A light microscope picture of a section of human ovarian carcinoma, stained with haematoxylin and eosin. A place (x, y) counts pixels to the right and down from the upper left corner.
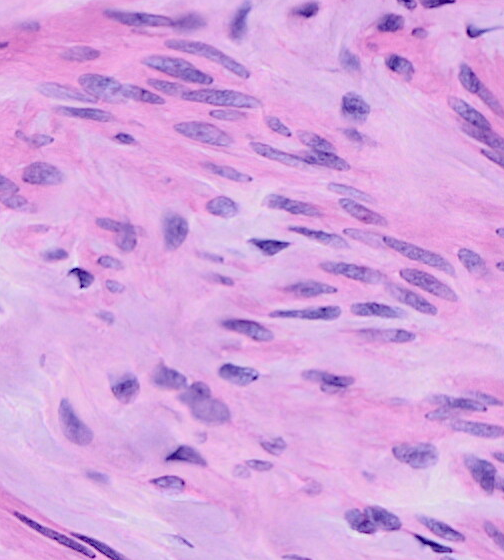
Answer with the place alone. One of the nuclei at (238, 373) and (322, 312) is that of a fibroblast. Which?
(238, 373)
